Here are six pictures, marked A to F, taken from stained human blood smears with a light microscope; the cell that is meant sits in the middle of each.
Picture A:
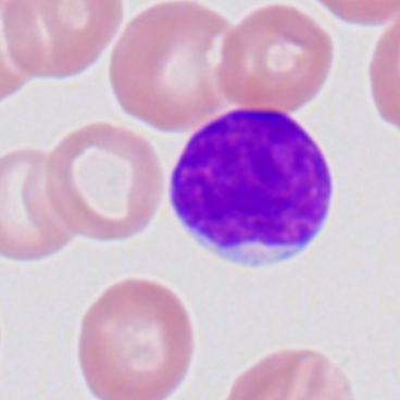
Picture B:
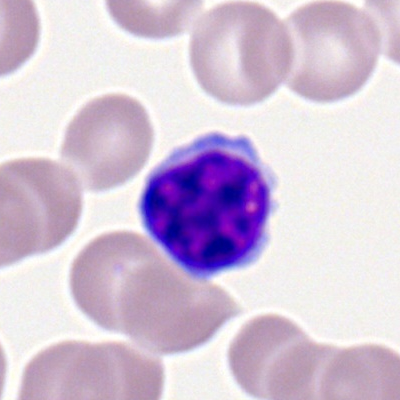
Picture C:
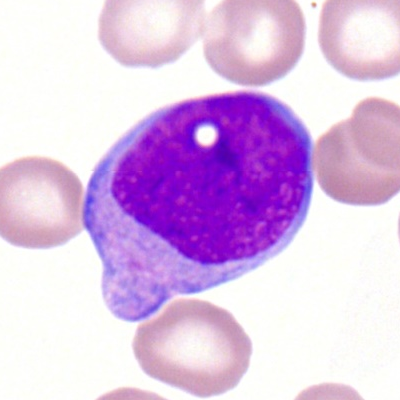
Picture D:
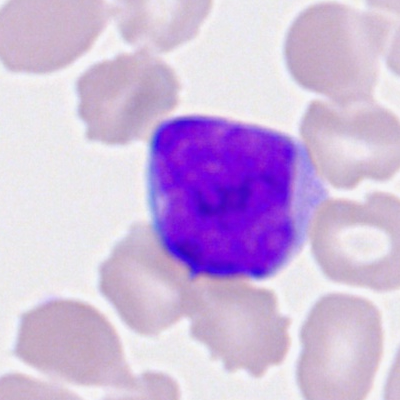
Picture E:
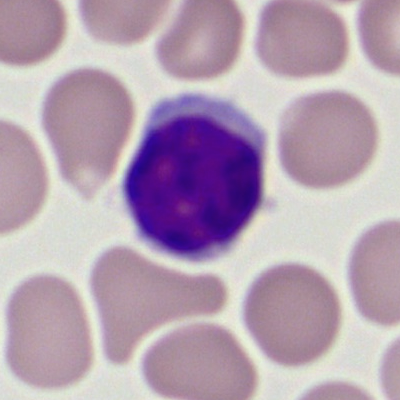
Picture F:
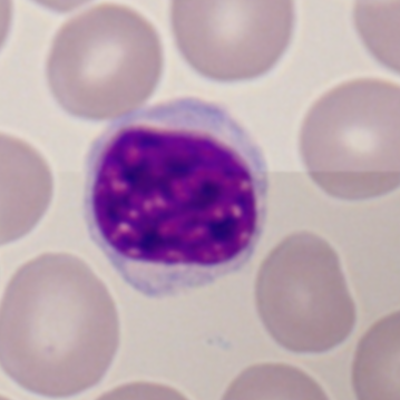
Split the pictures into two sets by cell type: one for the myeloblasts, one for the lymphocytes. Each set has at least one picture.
A: lymphocyte
B: lymphocyte
C: myeloblast
D: myeloblast
E: lymphocyte
F: lymphocyte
